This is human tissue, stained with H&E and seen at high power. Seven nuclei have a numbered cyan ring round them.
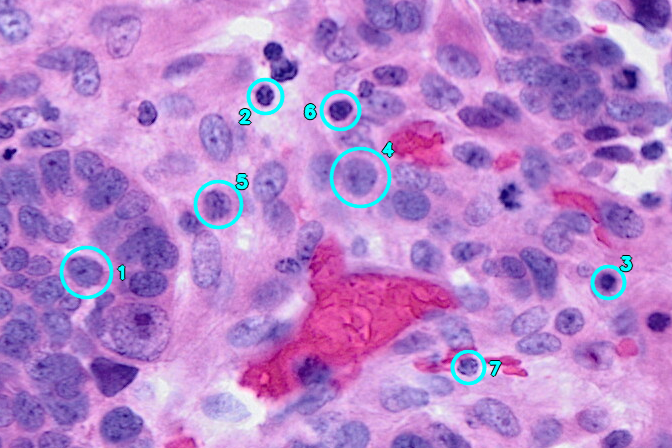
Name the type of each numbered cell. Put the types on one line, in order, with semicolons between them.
carcinoma cell; lymphocyte; lymphocyte; carcinoma cell; macrophage or monocyte; lymphocyte; lymphocyte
